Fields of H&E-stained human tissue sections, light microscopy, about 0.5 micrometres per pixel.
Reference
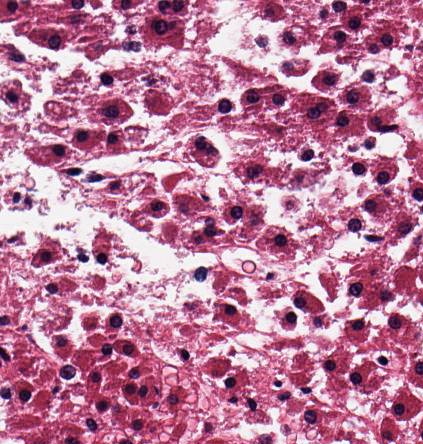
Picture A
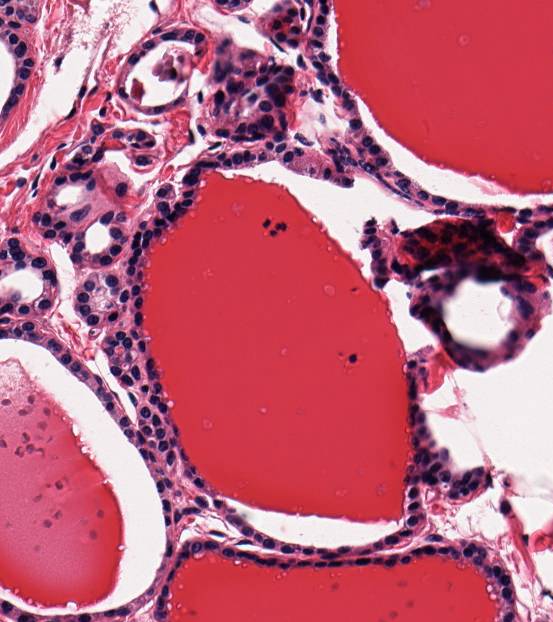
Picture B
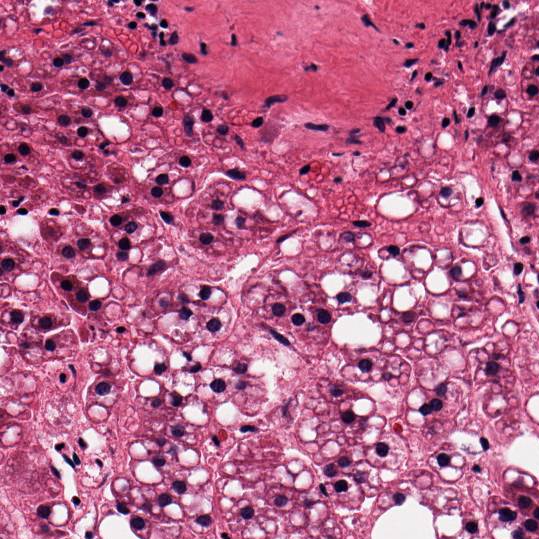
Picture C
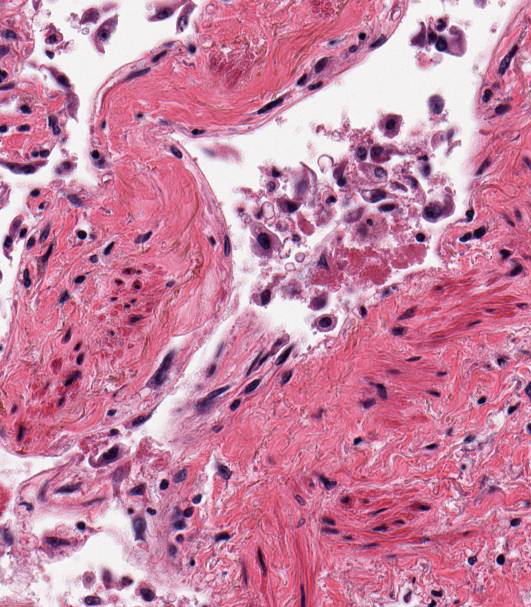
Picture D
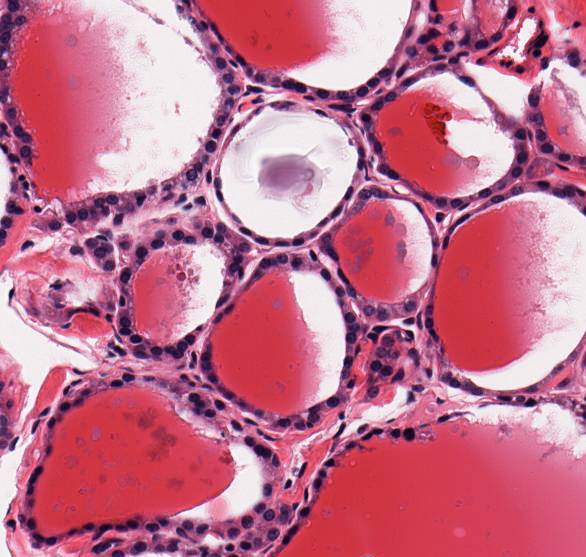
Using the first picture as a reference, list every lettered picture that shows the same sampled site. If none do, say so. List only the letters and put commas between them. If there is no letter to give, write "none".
B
